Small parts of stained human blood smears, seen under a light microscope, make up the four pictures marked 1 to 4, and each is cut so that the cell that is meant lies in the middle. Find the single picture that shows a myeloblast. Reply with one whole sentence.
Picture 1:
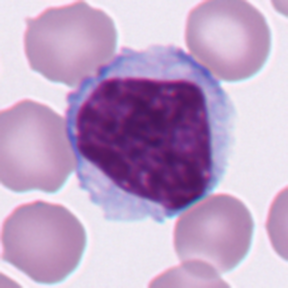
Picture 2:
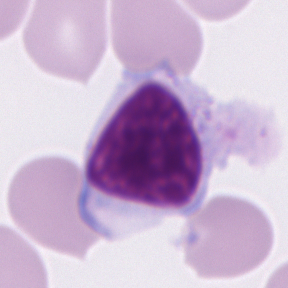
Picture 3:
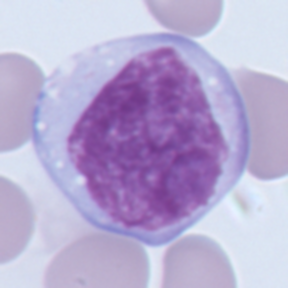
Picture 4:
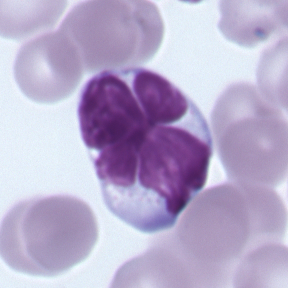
Picture 3 is the one that shows the myeloblast.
